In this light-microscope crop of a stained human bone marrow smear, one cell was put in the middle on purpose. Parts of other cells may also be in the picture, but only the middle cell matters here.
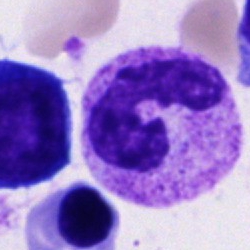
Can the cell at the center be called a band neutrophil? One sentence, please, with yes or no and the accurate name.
Yes, the cell shown in the middle is a band neutrophil.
